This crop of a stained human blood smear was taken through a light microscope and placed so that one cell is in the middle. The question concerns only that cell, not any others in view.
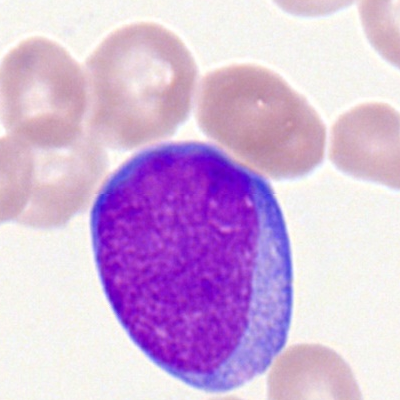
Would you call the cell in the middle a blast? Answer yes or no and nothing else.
yes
